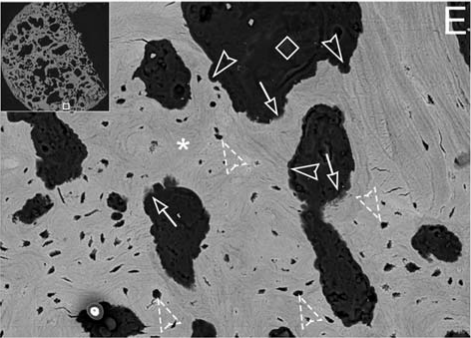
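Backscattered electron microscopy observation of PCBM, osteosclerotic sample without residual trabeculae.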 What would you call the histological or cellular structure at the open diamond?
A: Large voids.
